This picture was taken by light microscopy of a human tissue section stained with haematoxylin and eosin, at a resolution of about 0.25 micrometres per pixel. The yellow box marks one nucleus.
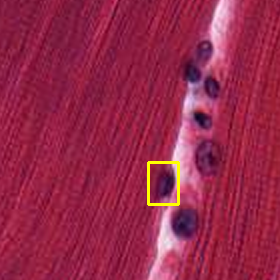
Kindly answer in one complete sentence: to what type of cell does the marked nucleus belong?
The marked nucleus is seen to belong to a skeletal muscle fibre.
